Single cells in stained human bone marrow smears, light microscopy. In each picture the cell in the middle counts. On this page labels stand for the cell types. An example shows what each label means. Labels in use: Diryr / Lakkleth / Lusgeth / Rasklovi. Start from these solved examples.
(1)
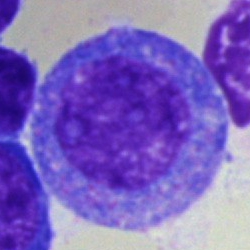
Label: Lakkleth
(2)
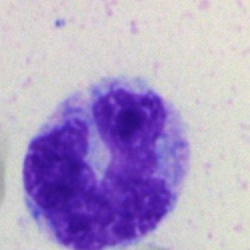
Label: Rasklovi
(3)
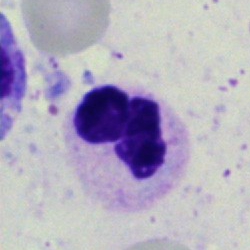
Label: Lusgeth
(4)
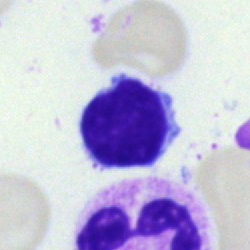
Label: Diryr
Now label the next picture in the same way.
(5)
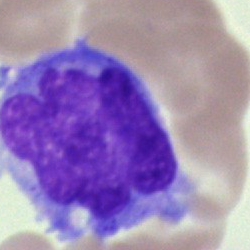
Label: Rasklovi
